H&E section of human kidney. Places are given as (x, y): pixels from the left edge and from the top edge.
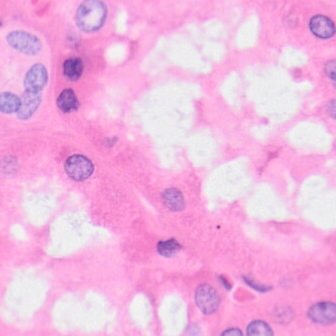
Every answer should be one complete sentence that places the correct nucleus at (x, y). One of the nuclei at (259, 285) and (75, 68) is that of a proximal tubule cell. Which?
That would be the nucleus at (75, 68); it belongs to a proximal tubule cell.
